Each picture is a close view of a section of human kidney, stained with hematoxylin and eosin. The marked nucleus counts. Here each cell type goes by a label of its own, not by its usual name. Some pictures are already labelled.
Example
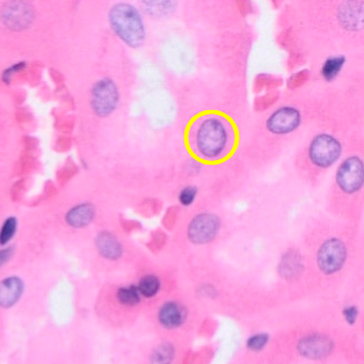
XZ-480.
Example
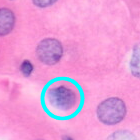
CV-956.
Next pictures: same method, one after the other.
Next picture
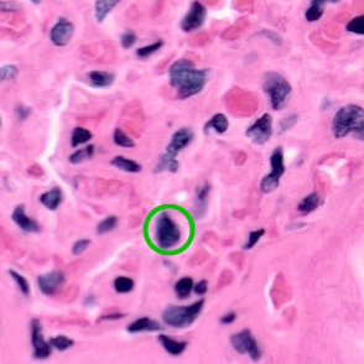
CV-956.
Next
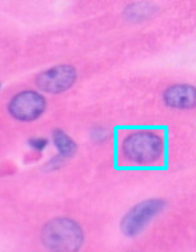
XZ-480.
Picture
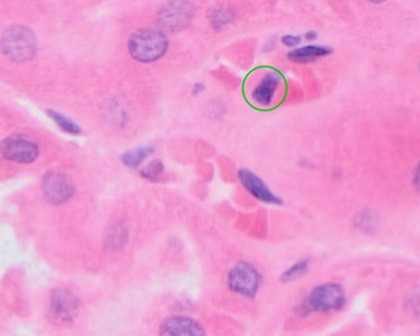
CV-956.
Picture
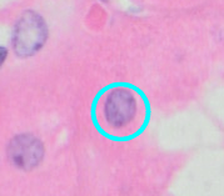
XZ-480.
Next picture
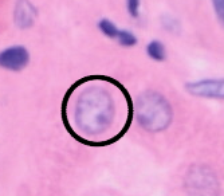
XZ-480.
